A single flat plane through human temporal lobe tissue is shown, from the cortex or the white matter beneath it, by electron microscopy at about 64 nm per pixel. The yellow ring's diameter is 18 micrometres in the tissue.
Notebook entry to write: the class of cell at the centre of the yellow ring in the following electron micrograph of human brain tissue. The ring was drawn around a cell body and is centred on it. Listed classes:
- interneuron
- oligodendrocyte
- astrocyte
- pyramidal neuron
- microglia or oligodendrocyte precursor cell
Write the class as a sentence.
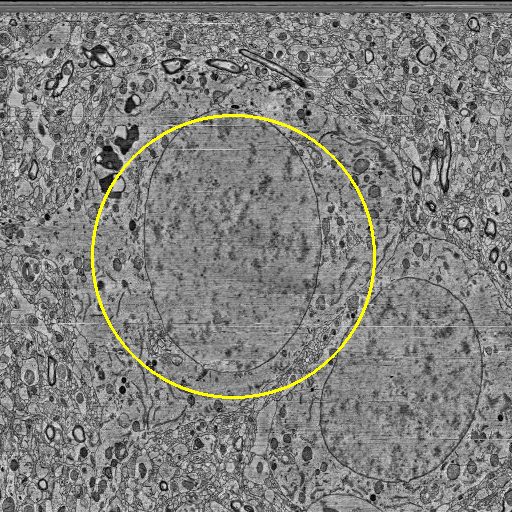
The yellow ring sits on a pyramidal neuron.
